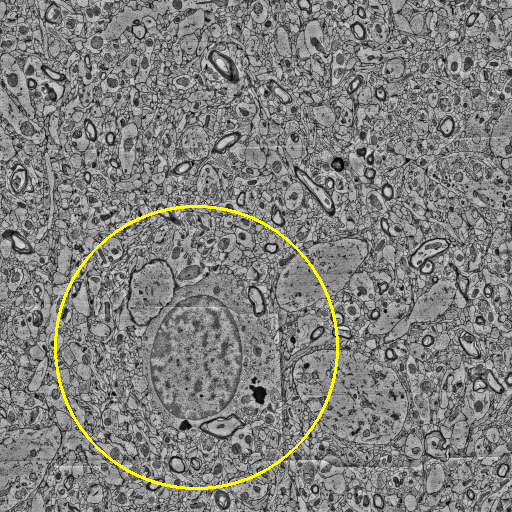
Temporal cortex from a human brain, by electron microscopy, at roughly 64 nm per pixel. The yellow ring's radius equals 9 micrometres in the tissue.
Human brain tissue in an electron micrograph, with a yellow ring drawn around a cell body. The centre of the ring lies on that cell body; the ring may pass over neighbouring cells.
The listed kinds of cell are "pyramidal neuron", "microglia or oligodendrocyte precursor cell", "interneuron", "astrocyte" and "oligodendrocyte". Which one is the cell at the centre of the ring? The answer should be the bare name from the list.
oligodendrocyte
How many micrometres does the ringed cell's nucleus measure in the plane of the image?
In this plane the nucleus is about 8 micrometres by 6.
